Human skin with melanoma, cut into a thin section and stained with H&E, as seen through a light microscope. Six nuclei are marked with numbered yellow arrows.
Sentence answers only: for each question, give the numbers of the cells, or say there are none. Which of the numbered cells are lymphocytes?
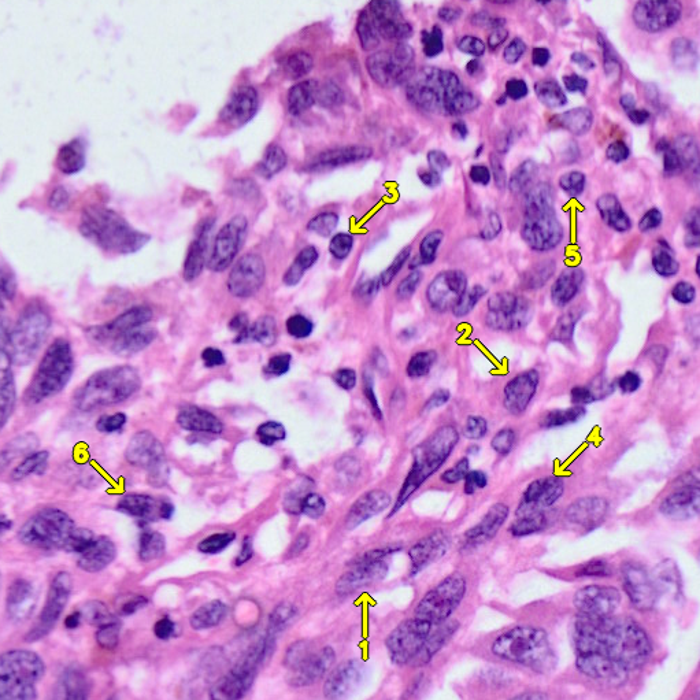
The cells numbered 3 and 5 are of the kind known as lymphocytes.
